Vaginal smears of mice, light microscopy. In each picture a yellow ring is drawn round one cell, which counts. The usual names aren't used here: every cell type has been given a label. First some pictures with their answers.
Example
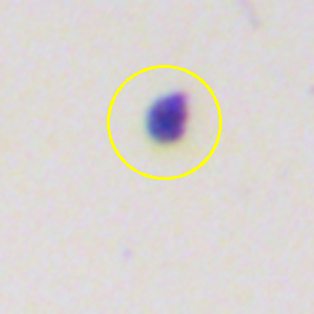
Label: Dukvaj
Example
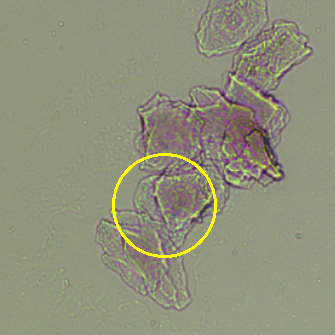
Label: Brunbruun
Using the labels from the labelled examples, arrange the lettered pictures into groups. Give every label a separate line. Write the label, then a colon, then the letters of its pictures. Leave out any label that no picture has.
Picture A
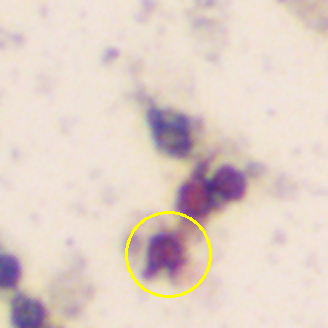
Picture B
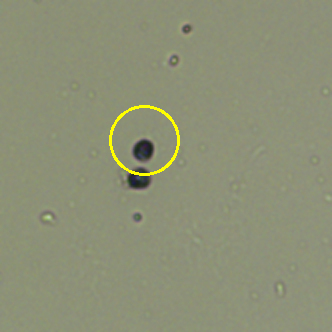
Dukvaj: A, B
